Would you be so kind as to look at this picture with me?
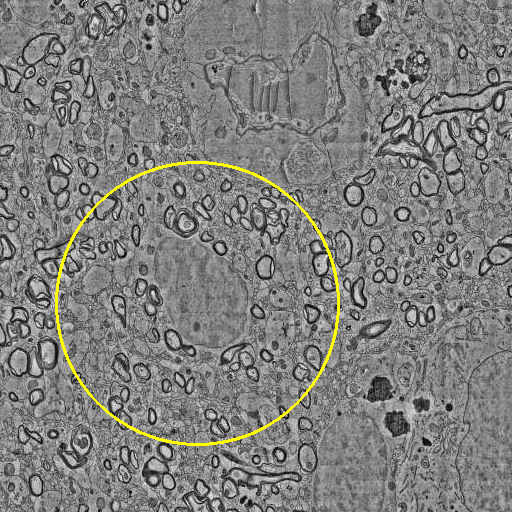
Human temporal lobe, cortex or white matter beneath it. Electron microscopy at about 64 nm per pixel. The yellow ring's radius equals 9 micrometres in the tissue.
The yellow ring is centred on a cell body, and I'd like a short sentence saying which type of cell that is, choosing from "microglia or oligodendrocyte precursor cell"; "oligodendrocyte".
The cell body in the ring belongs to an oligodendrocyte.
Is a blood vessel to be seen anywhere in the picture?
Yes, a blood vessel shows in the picture.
